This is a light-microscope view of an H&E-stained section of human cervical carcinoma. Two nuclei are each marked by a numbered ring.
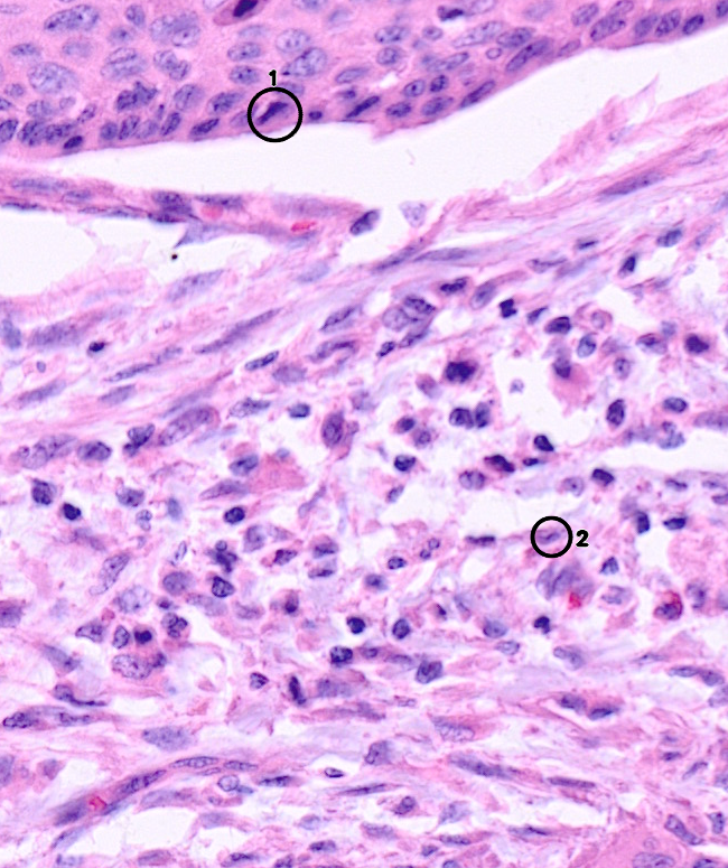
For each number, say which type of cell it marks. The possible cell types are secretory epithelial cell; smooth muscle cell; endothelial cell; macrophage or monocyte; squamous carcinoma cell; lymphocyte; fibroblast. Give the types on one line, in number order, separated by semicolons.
squamous carcinoma cell; fibroblast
